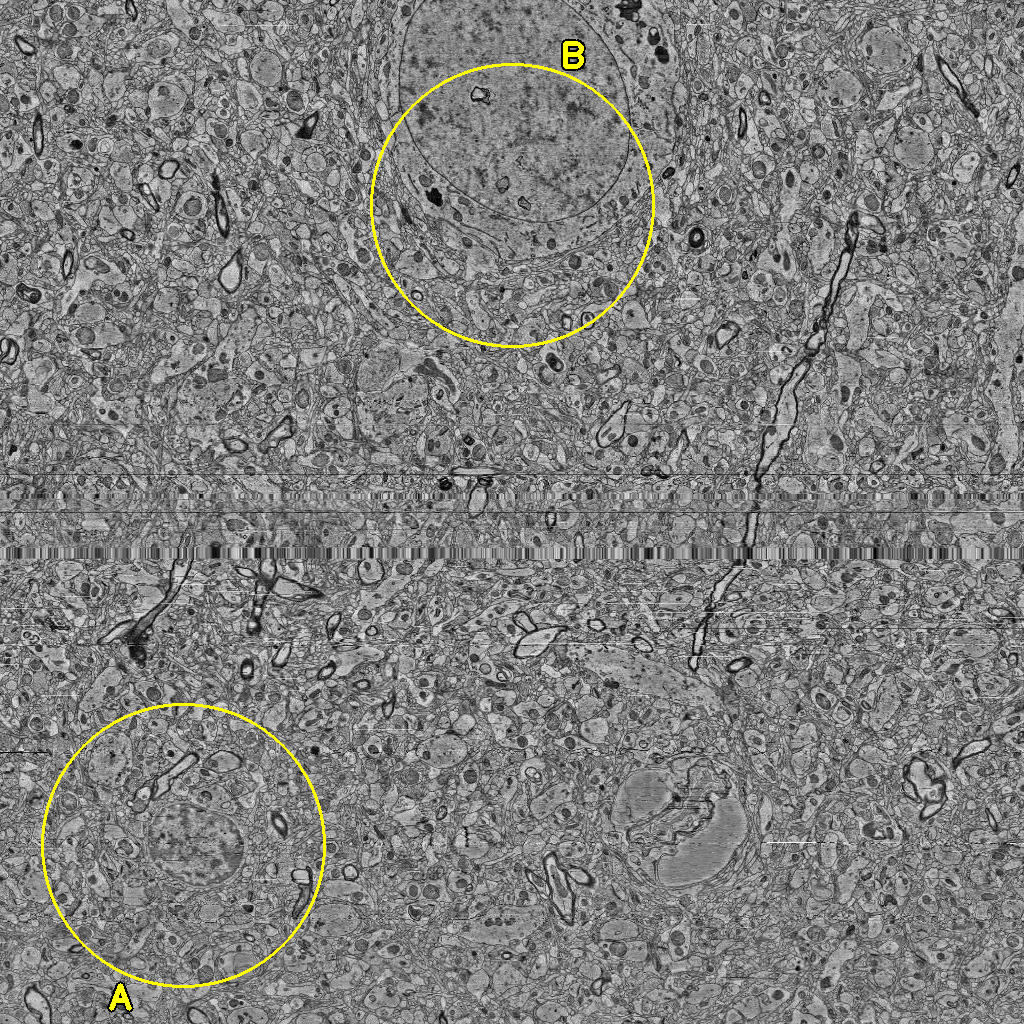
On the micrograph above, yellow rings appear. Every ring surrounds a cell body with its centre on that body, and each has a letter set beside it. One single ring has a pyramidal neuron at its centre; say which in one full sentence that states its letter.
The answer is ring B, whose centre lies on the cell asked for.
